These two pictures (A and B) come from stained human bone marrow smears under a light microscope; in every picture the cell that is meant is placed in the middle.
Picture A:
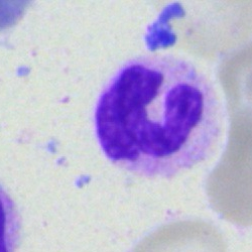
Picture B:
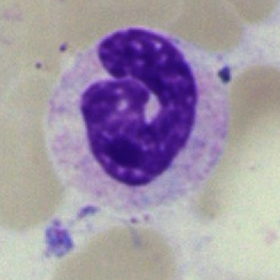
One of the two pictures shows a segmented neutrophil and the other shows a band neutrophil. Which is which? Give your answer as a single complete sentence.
The cell in picture A is a band neutrophil, and the one in picture B is a segmented neutrophil.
